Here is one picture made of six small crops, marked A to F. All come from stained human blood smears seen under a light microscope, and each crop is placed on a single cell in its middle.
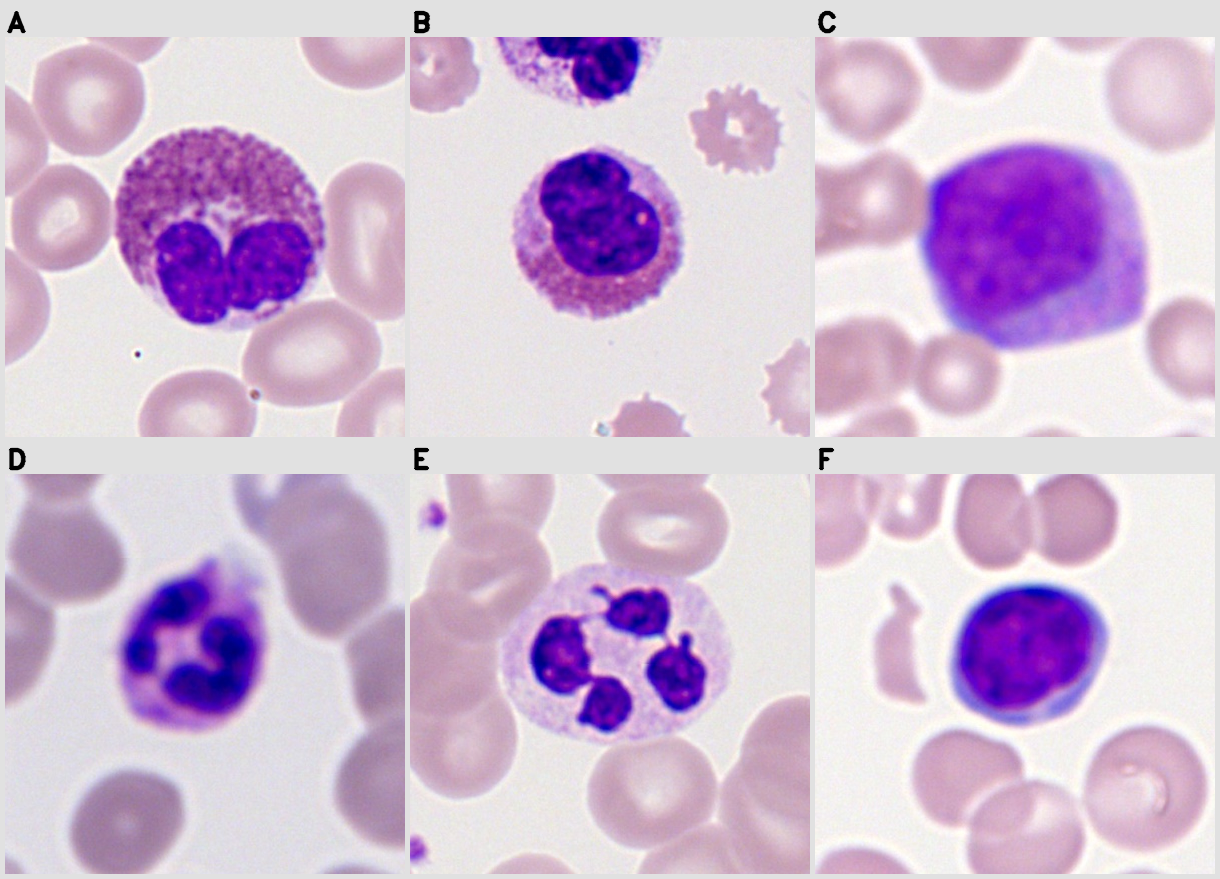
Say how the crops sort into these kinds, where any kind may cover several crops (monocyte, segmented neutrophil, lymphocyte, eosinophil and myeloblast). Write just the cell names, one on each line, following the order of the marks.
eosinophil
eosinophil
myeloblast
segmented neutrophil
segmented neutrophil
lymphocyte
